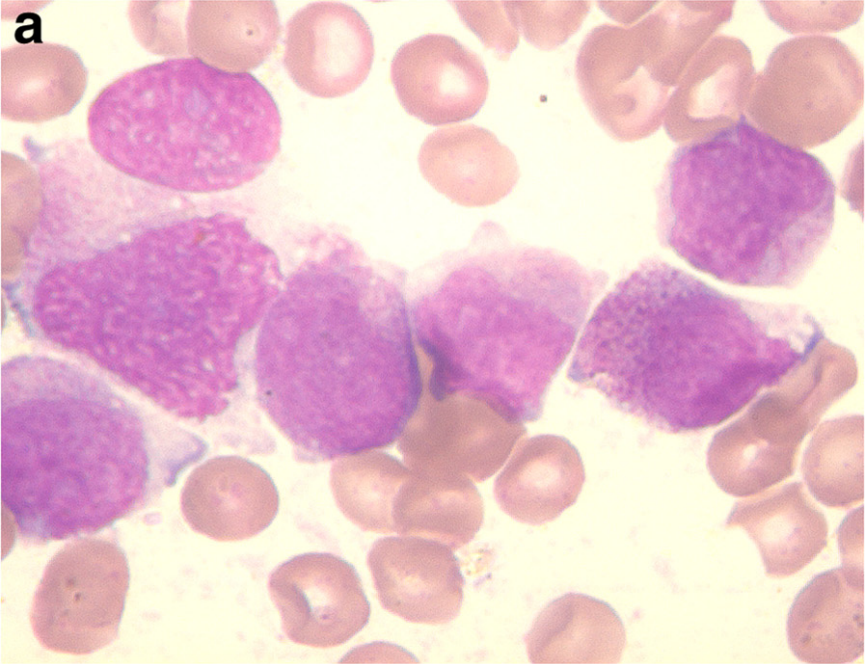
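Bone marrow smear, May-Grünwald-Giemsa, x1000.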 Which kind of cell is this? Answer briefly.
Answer: leukemic cells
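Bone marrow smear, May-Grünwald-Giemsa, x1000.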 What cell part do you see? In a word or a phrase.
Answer: Hypergranular cytoplasm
